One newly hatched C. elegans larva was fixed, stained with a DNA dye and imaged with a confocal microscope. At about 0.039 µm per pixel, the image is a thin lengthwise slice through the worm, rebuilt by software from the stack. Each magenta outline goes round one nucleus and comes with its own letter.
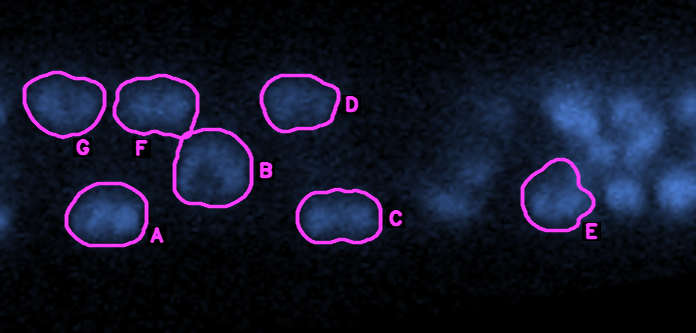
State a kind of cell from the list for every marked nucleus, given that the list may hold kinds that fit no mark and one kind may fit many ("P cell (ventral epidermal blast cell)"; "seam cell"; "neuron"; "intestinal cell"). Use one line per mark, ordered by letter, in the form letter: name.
A: P cell (ventral epidermal blast cell)
B: intestinal cell
C: seam cell
D: seam cell
E: P cell (ventral epidermal blast cell)
F: P cell (ventral epidermal blast cell)
G: seam cell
